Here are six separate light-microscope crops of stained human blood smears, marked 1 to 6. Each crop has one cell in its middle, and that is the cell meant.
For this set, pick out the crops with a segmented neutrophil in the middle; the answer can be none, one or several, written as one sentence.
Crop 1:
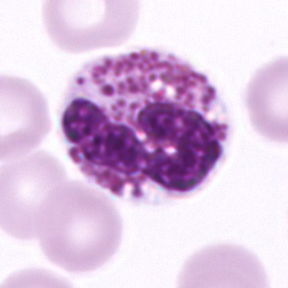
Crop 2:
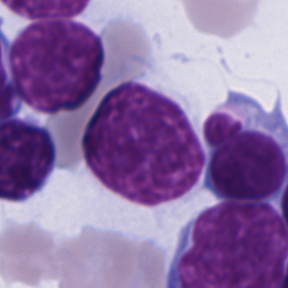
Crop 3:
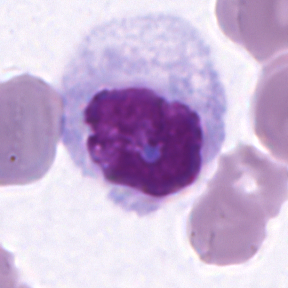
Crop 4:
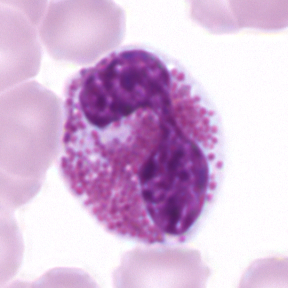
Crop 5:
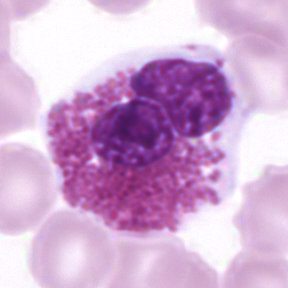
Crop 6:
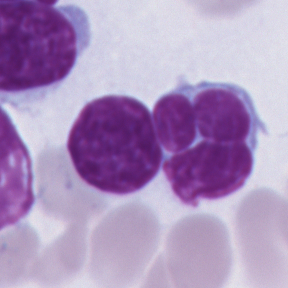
From first crop to last, none of them contains a segmented neutrophil.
